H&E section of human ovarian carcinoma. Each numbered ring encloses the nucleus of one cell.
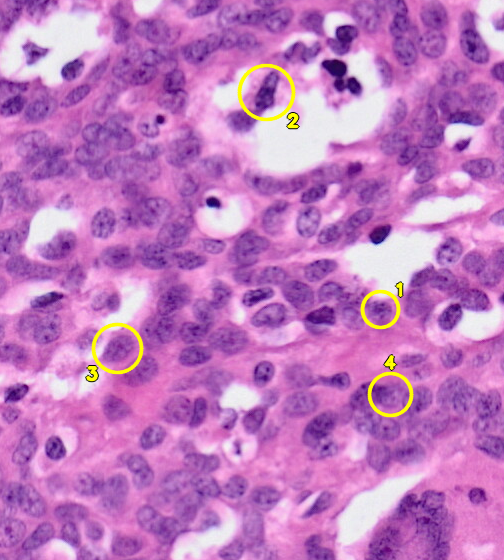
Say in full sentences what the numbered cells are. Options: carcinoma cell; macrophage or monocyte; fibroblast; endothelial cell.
Cell 1 is a carcinoma cell, cell 2 is a macrophage or monocyte, cell 3 is a carcinoma cell and cell 4 is a carcinoma cell.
